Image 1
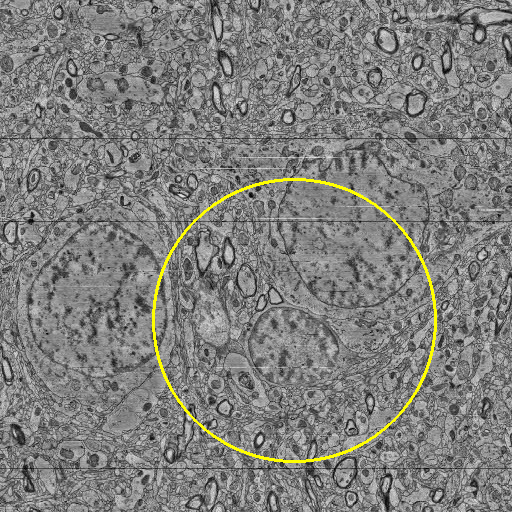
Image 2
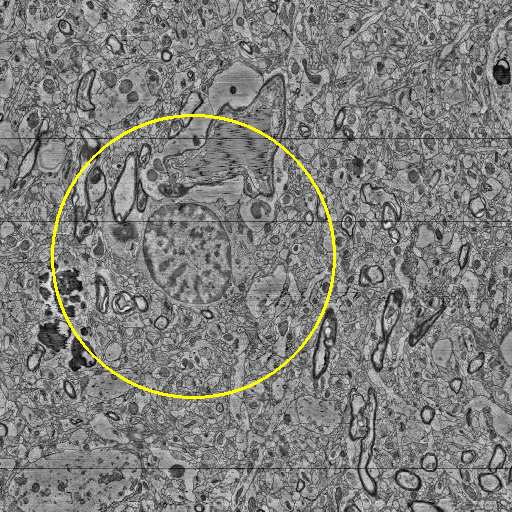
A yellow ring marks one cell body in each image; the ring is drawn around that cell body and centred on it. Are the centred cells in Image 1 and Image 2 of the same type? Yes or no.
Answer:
yes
